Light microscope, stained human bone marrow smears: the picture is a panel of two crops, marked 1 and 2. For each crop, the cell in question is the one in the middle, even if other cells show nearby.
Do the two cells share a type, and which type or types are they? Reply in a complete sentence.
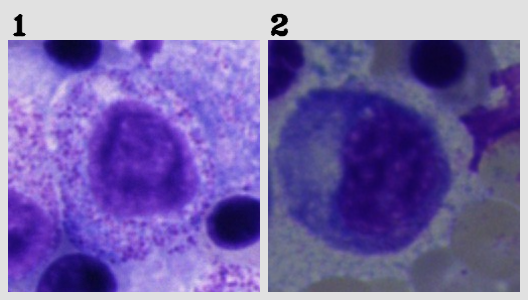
Yes, in the middle of both crops lie promyelocytes.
